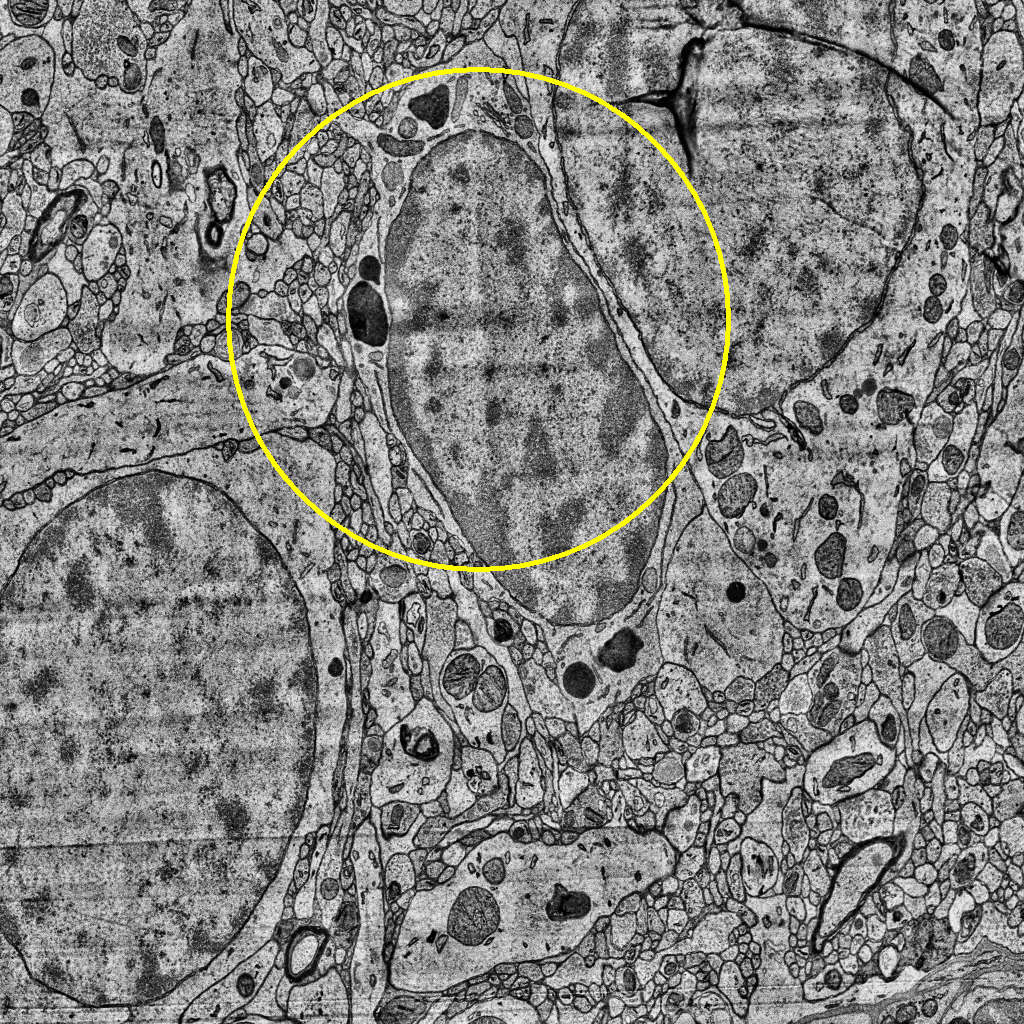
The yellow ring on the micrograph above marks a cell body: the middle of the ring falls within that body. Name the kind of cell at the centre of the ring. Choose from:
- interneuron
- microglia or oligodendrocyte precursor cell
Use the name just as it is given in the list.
microglia or oligodendrocyte precursor cell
